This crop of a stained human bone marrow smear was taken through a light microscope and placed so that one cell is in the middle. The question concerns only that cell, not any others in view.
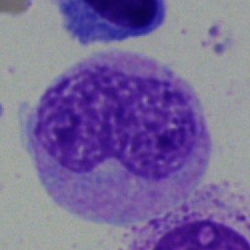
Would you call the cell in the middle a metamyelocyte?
yes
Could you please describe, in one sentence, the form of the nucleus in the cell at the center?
A single compact nucleus is present, shaped round, oval or like a kidney.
